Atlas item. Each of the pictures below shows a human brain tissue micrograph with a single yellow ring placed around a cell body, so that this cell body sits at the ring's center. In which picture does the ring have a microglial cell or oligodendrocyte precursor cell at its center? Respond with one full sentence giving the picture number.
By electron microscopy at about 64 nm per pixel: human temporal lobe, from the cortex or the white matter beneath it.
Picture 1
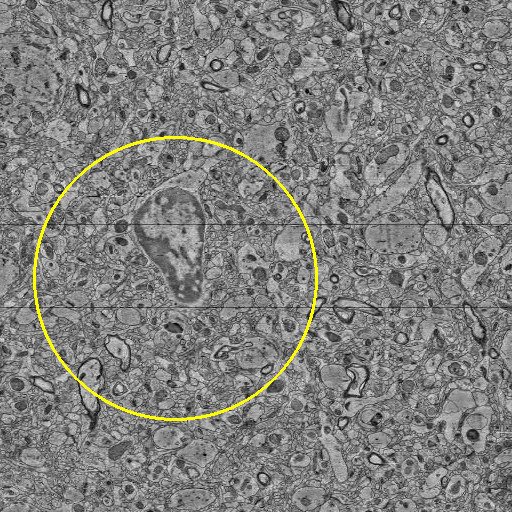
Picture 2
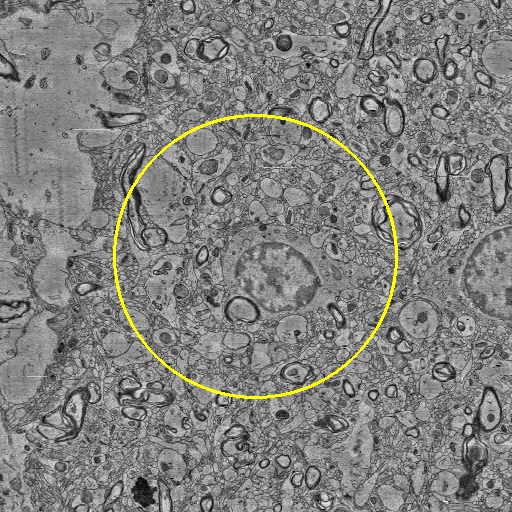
The cell at the ring's center that fits lies in picture 1.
